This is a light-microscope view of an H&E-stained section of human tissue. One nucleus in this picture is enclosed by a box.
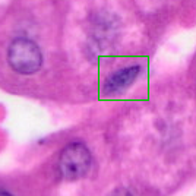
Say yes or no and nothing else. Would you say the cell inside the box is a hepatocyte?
no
